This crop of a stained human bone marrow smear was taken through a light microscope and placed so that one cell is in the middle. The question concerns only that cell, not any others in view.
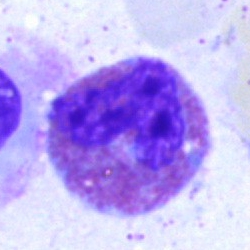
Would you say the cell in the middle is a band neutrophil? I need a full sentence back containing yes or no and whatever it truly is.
No, the central cell qualifies as an eosinophil rather than as a band neutrophil.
